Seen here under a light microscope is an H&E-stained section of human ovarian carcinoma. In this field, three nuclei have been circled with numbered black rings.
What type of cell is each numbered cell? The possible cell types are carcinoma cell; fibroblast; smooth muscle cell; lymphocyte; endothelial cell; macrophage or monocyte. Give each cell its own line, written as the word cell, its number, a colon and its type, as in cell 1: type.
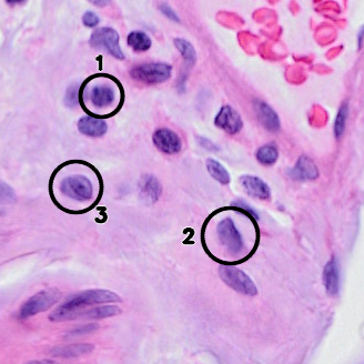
cell 1: lymphocyte
cell 2: fibroblast
cell 3: fibroblast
